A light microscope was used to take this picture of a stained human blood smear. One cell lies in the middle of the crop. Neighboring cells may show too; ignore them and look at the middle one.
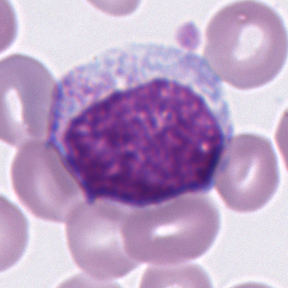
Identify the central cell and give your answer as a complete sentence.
This crop is built around a myelocyte at its centre.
